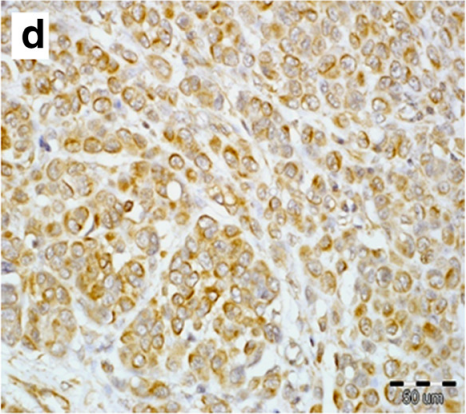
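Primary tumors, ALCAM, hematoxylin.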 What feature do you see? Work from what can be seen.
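Tumor cells lie in rounded groups of varying size. Thin strands of paler stroma separate the groups. Cells are large with round vesicular nuclei and brown-rimmed cytoplasm. The answer: nests.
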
